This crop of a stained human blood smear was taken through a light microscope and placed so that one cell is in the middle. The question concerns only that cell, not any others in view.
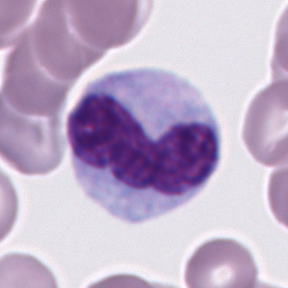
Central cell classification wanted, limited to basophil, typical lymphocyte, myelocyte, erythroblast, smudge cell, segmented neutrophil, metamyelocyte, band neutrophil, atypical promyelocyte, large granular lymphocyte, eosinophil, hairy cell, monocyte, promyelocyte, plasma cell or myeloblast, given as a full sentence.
The cell at the central position in this crop is a monocyte.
